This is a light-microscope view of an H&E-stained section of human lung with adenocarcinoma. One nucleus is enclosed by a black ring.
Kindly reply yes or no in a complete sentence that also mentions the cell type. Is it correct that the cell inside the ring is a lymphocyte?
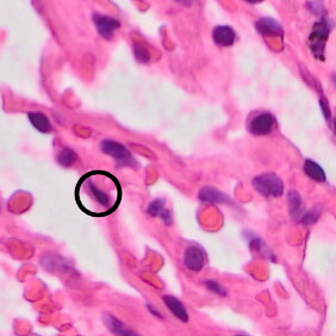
No, sorry, but the cell inside the ring is an endothelial cell and not a lymphocyte.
